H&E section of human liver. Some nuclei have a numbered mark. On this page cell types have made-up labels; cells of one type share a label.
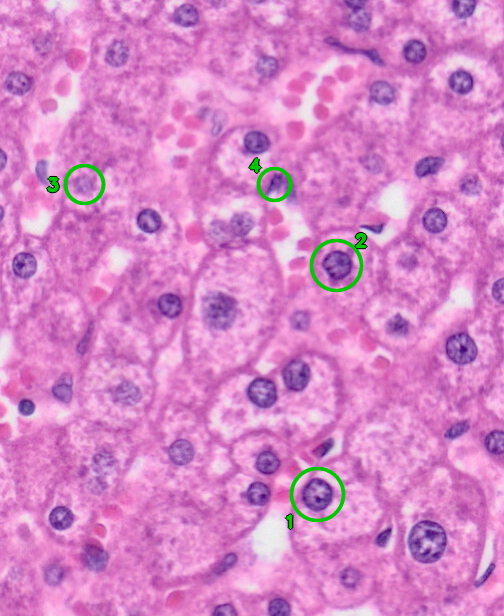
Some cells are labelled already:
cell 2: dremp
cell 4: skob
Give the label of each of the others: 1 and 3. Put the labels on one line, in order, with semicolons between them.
dremp; dremp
